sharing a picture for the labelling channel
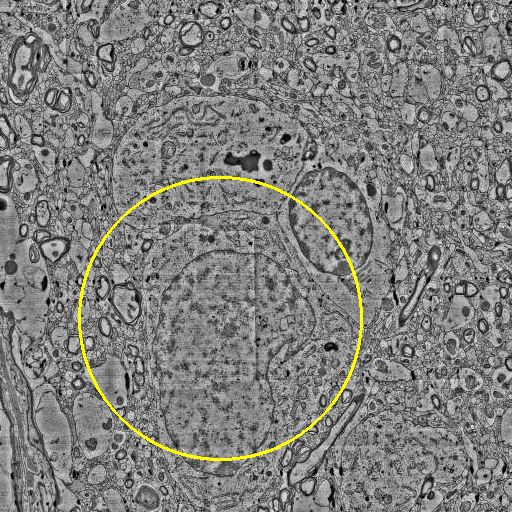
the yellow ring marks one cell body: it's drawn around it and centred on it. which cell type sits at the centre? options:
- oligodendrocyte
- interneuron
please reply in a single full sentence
In the picture, the cell at the ring's centre is an interneuron, going by the list.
